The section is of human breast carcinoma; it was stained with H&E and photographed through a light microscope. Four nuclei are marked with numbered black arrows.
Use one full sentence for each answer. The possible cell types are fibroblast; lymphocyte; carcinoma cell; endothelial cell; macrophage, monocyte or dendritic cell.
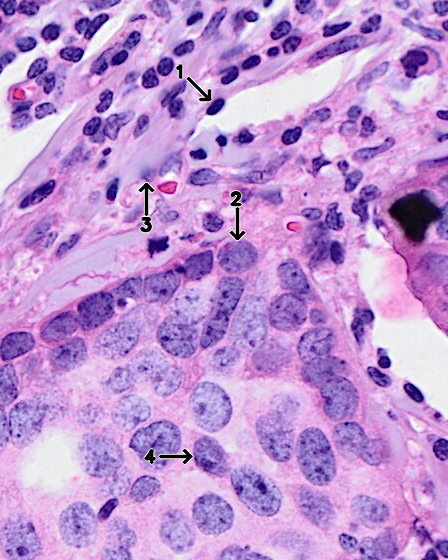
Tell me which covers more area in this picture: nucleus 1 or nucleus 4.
Nucleus 4 is larger, with an area about 4 times that of nucleus 1.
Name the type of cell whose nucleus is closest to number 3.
The nearest nucleus to number 3 belongs to an endothelial cell.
